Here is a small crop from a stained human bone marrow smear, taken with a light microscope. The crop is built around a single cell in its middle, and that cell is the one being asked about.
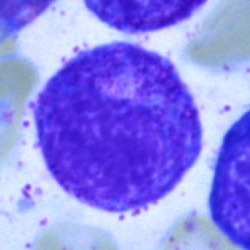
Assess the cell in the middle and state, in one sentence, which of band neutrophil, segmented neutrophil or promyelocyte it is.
What sits at the centre of this crop is a promyelocyte.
